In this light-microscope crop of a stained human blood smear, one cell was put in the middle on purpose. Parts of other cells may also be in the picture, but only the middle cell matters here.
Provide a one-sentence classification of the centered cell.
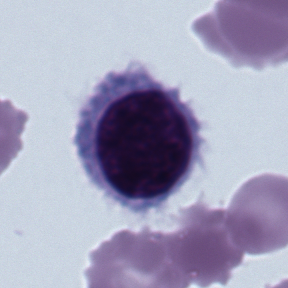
By classification, the middle cell of this crop is a hairy cell.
